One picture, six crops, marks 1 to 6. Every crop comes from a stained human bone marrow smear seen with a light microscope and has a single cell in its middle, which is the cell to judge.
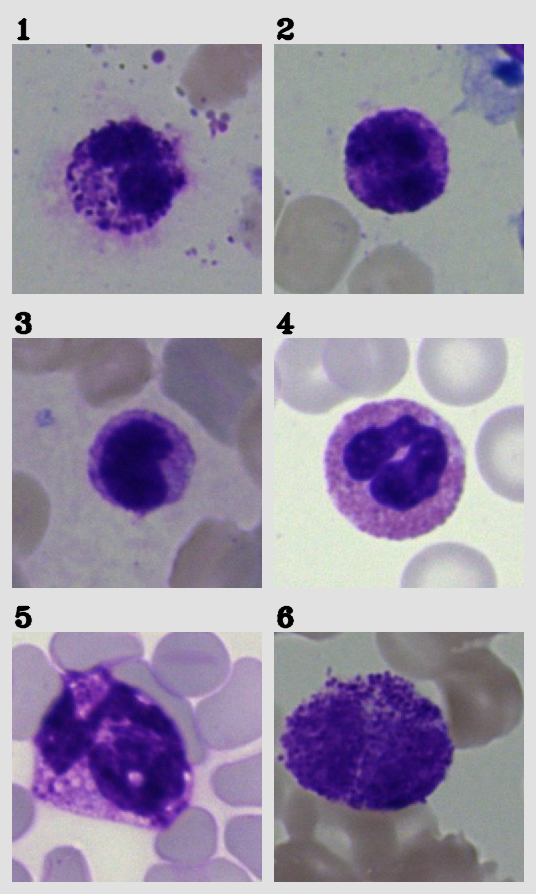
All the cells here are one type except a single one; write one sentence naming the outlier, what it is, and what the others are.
The one crop not showing basophils is crop 4, which shows an eosinophil.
